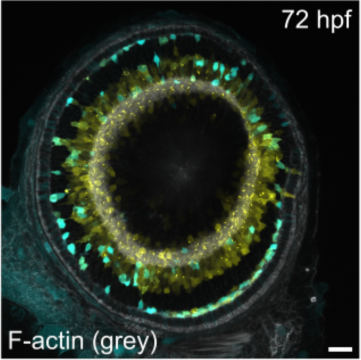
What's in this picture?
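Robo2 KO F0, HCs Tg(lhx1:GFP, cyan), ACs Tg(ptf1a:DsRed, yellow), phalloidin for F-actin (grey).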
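The cyan cells are scattered around the circumference instead of forming one tidy continuous row. Many sit irregularly at different depths, and several lie out among the yellow cells. The yellow amacrine cell bodies occupy a broad ring with processes pointing inward toward a bright band, the inner plexiform layer, that surrounds the central region.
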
